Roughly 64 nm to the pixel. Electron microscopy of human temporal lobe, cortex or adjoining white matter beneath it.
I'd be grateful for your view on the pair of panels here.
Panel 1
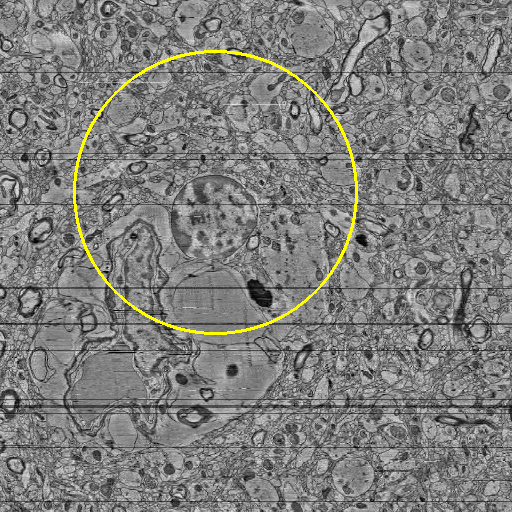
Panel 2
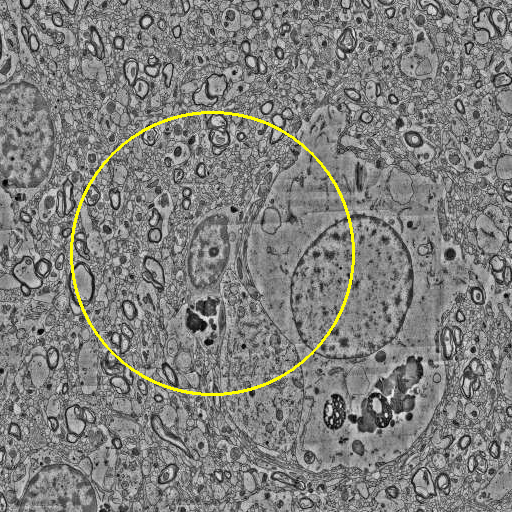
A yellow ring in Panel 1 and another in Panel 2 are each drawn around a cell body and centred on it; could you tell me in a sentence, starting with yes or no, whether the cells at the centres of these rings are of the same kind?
No, they are two kinds of cell.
